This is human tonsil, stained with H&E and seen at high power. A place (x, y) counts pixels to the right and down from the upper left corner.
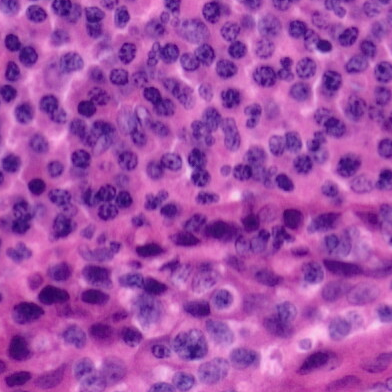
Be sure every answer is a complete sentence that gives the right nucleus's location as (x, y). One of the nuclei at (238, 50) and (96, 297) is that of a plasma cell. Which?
The nucleus at position (238, 50) belongs to a plasma cell.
